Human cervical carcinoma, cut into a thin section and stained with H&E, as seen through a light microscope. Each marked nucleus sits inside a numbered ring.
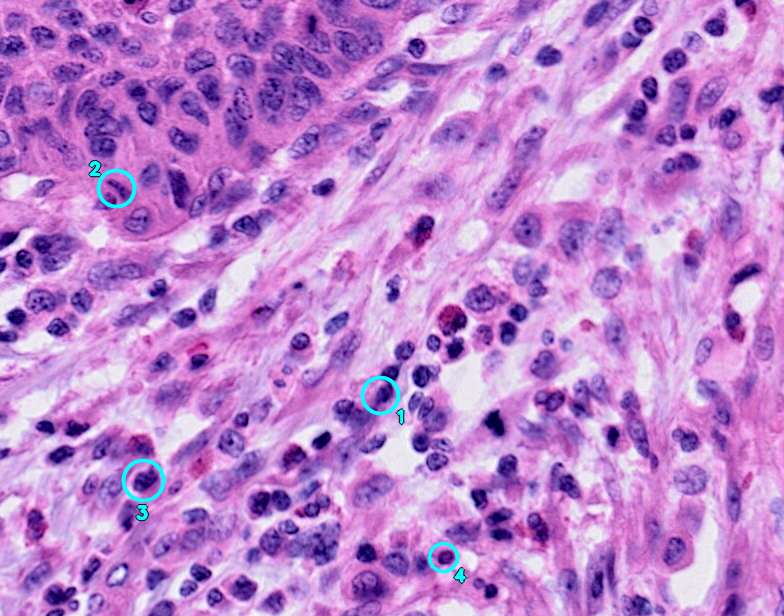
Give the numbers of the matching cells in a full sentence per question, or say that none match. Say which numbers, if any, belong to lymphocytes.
Identified as lymphocytes are the cells numbered 1 and 3.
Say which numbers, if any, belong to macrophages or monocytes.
Only the cell at mark 4 is a macrophage or monocyte, and no other marked cell is.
